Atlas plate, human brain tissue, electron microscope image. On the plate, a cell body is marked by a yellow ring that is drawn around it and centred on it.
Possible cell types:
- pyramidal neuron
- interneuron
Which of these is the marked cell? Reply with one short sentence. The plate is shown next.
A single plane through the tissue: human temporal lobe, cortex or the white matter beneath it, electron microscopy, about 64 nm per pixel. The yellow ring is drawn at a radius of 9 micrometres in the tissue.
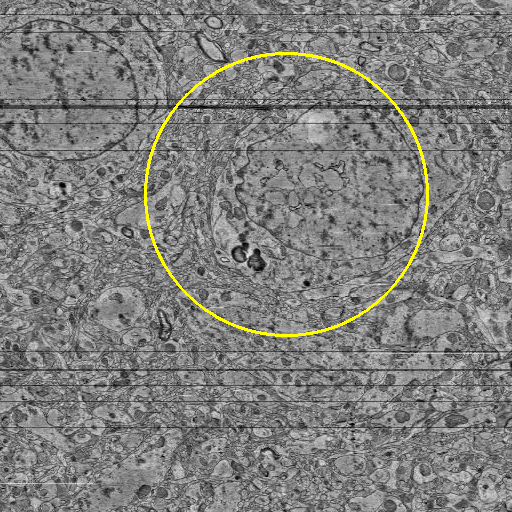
The marked cell is a pyramidal neuron.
